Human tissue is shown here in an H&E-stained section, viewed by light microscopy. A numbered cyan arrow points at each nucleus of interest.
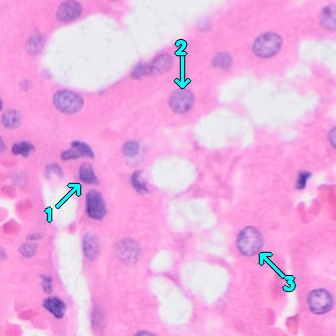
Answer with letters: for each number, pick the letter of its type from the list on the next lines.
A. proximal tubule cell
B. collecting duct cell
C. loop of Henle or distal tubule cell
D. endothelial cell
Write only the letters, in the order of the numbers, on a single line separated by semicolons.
B; A; A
